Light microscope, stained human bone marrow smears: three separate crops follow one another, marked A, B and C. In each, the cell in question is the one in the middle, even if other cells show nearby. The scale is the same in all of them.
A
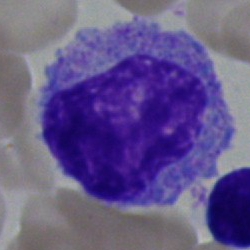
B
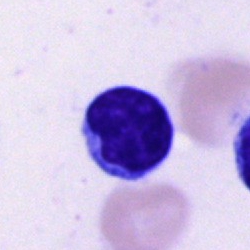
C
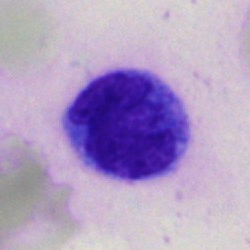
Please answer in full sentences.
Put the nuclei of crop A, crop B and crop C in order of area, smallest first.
Smallest first: B, C, A.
